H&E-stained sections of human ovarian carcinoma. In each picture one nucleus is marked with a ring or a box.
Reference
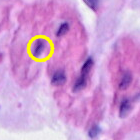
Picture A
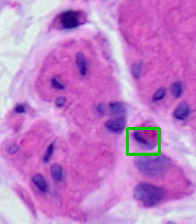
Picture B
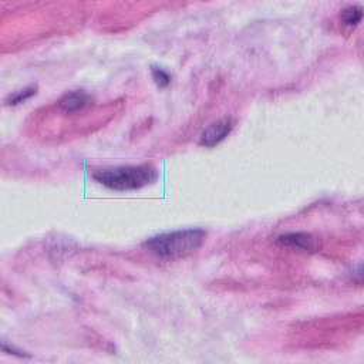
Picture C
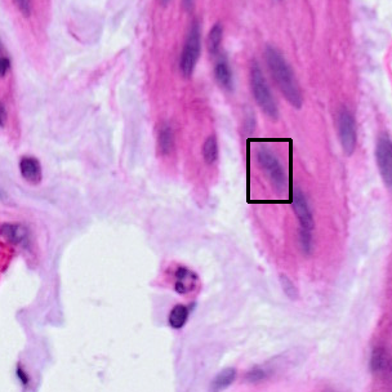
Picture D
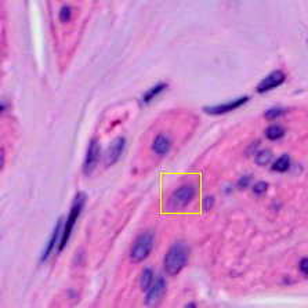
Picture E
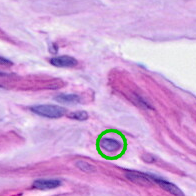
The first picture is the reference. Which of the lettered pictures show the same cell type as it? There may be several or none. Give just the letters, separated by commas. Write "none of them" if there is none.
C, D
